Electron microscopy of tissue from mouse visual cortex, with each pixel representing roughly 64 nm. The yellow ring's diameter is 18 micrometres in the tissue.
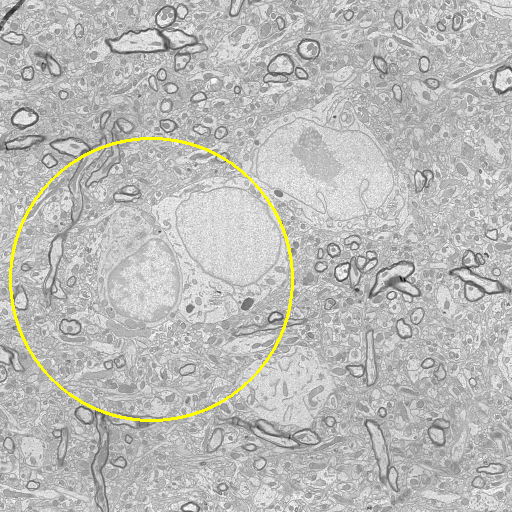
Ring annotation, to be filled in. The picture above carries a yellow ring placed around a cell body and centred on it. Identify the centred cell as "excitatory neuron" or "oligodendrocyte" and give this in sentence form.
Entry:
The cell in the middle of the ring is an oligodendrocyte.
